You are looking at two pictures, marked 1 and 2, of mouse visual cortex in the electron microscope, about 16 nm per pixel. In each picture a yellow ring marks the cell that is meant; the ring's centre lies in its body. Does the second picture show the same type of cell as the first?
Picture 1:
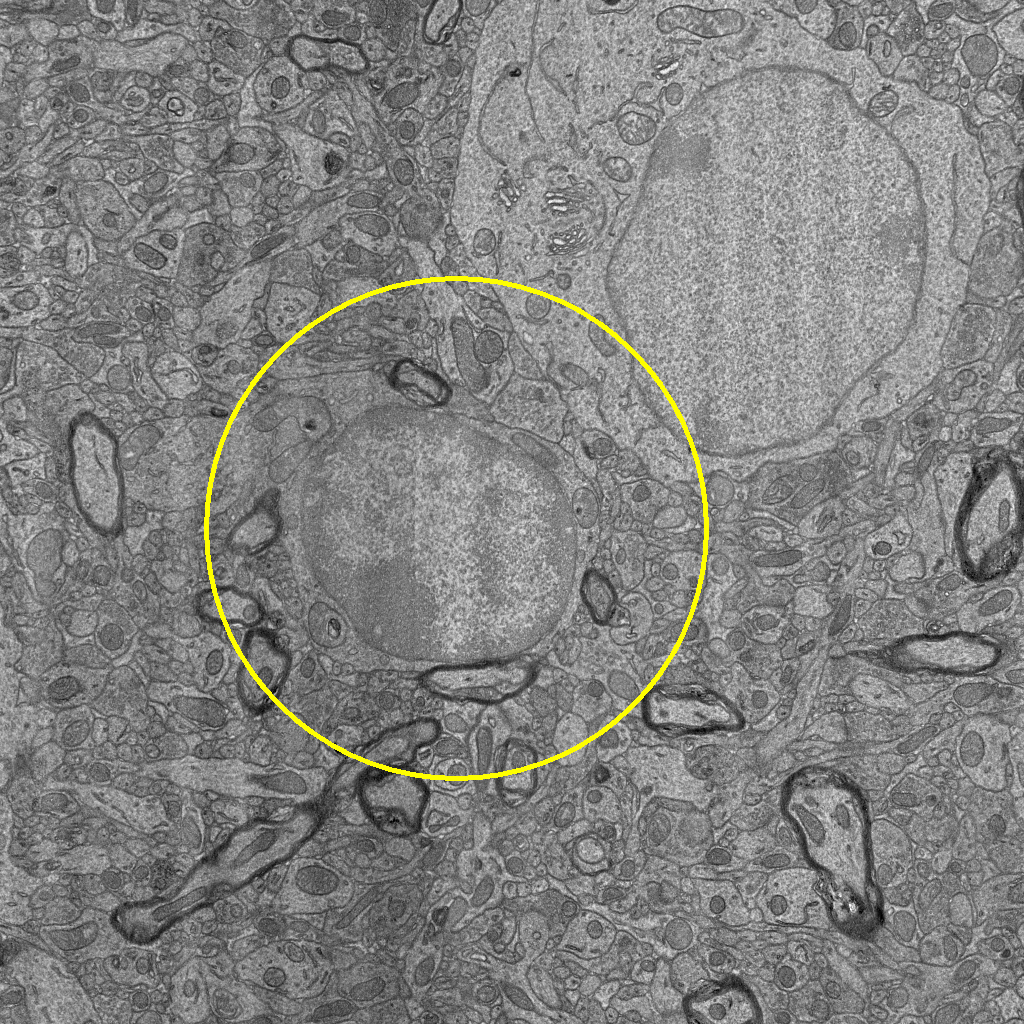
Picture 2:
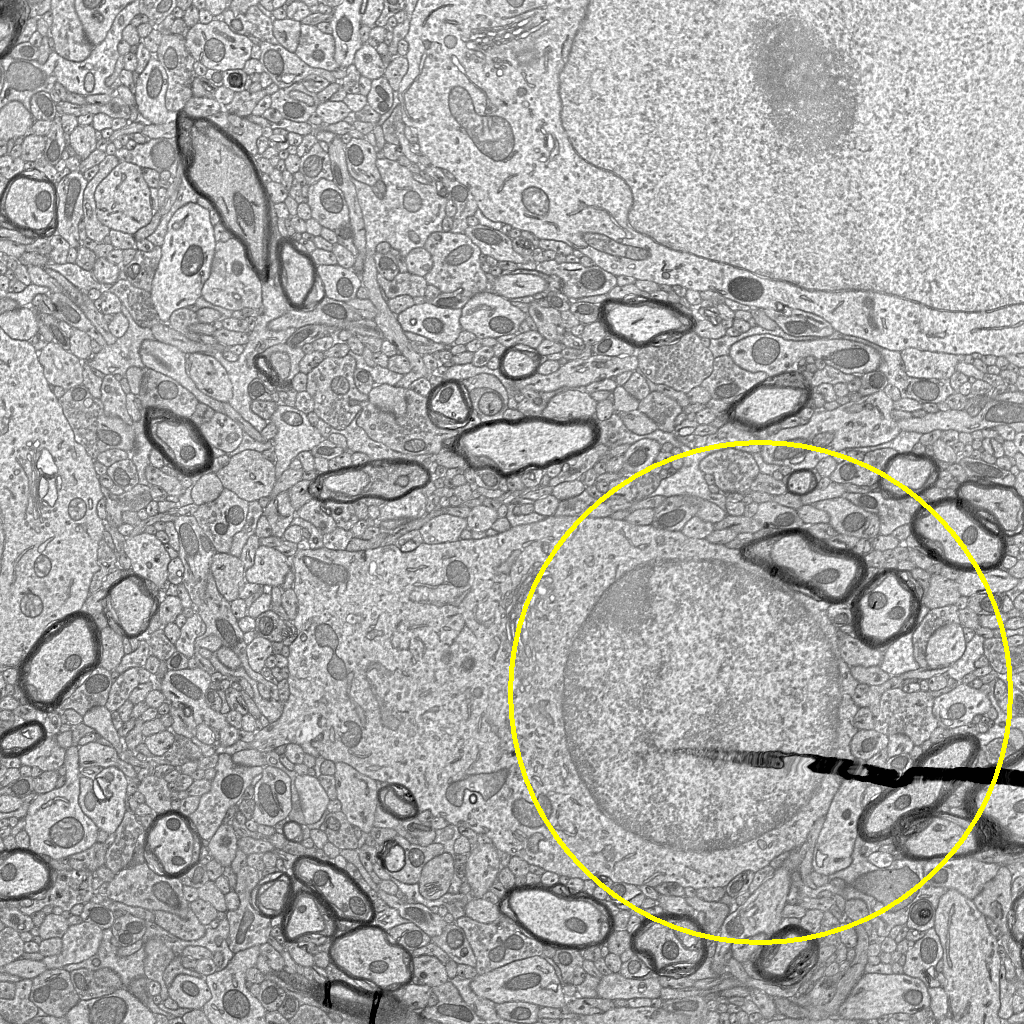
Yes, both are oligodendrocytes.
